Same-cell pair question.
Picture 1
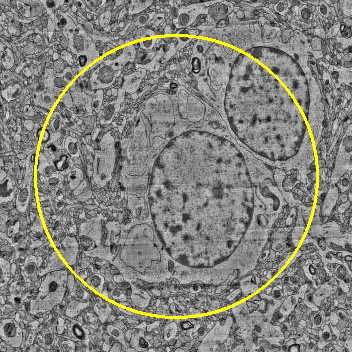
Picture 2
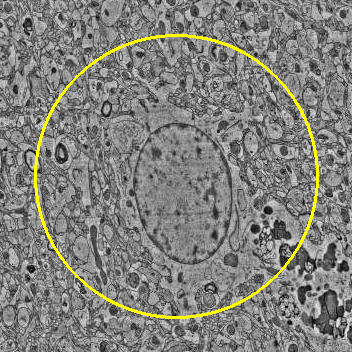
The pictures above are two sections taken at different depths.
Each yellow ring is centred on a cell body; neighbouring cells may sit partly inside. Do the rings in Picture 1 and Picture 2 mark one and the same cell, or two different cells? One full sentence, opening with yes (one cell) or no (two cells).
No, these are two different cells, each marked with a ring.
